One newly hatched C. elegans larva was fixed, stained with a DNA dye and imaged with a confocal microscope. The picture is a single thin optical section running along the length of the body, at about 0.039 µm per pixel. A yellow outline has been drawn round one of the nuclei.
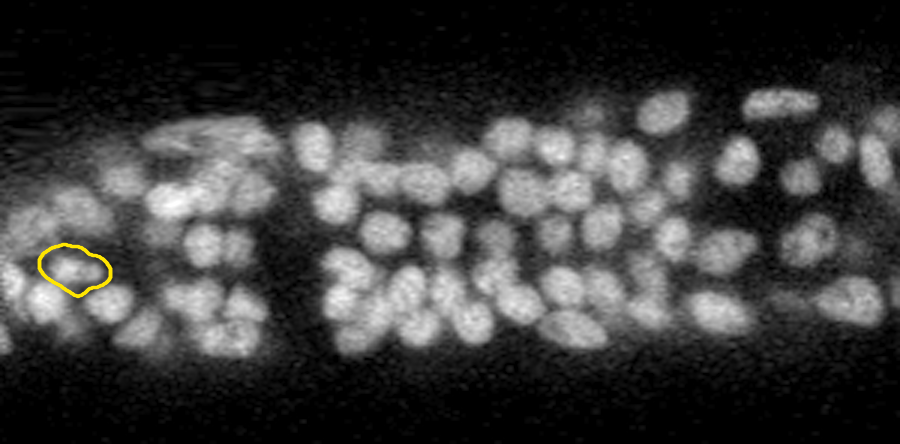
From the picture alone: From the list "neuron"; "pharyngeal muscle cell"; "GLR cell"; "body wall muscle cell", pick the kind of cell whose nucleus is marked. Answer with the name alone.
pharyngeal muscle cell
